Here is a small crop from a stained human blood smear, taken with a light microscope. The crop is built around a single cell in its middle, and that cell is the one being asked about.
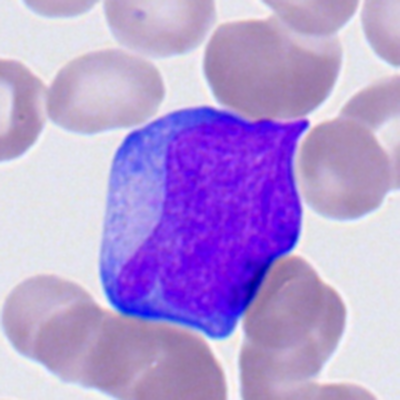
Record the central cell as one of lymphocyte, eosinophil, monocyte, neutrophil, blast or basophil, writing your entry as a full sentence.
In the middle of this smear crop, the cell is a blast.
